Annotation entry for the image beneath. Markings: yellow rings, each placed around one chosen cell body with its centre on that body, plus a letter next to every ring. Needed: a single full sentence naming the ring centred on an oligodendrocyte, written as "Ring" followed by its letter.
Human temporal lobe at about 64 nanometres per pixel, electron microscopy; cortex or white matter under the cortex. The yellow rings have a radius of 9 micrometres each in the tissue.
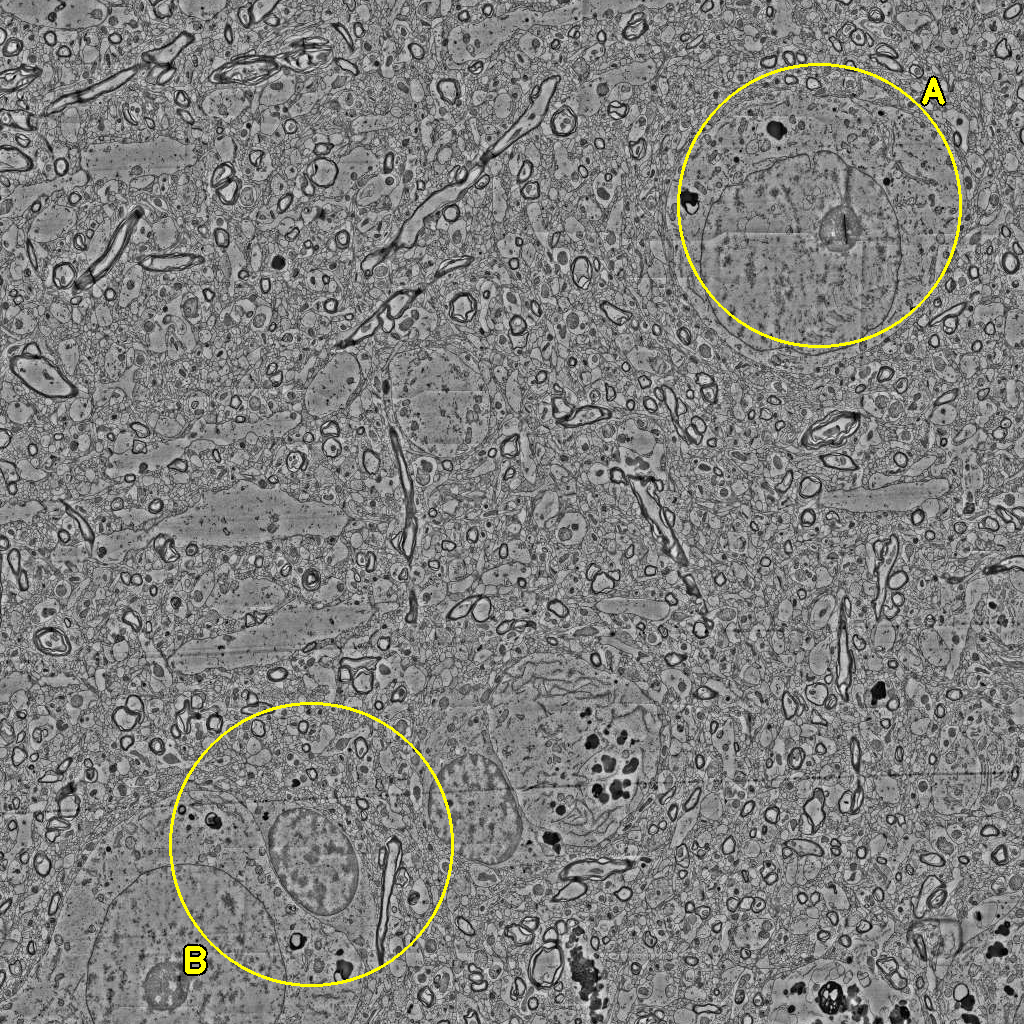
The image shows the cell in question at the centre of Ring B.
